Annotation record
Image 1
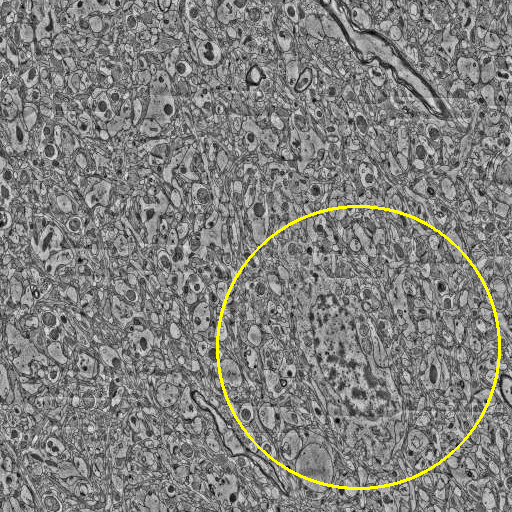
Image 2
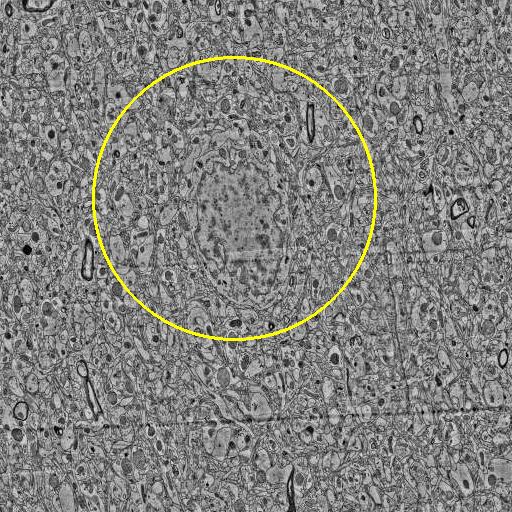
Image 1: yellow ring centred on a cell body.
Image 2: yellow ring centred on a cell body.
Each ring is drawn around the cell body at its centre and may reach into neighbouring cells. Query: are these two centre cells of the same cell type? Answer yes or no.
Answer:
yes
